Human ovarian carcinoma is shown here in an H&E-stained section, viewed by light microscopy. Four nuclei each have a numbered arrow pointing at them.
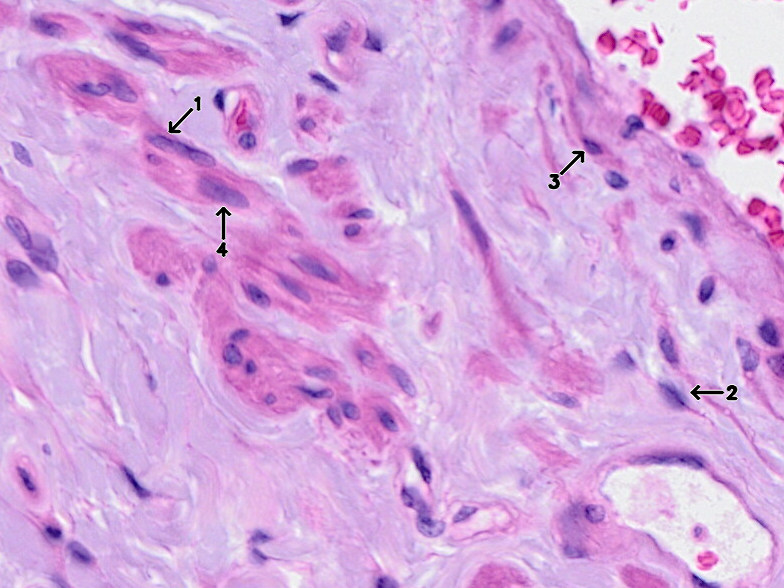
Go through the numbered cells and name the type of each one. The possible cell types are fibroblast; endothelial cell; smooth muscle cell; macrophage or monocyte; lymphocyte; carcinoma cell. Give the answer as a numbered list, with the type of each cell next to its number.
1. smooth muscle cell
2. fibroblast
3. smooth muscle cell
4. smooth muscle cell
